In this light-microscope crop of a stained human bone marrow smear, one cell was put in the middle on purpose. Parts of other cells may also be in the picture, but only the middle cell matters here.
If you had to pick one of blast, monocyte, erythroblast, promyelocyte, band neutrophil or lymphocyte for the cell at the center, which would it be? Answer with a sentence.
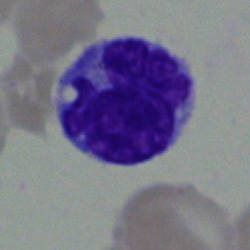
The identification for the central cell is a monocyte.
